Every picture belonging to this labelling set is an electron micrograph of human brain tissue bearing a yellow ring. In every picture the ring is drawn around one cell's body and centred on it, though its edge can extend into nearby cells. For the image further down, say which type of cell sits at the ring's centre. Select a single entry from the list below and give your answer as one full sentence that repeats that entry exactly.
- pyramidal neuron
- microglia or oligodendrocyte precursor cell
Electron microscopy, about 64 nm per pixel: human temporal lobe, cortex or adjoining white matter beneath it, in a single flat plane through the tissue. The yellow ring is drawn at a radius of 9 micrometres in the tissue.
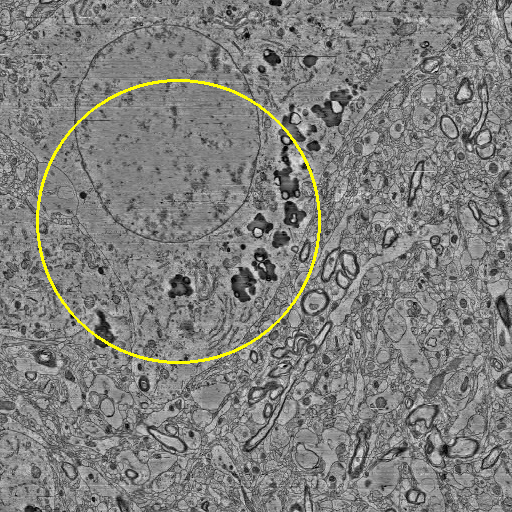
In the picture, a pyramidal neuron is the cell at the centre of the yellow ring.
